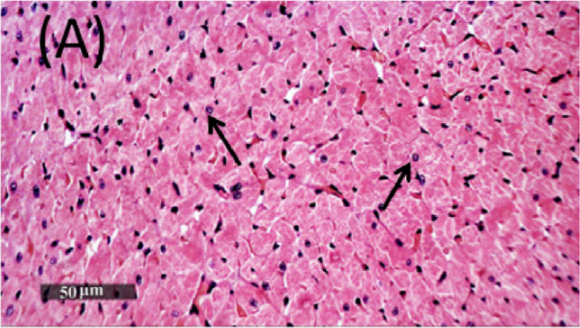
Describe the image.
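This is normal heart muscle made of branched cardiac muscle cells cut mostly across or obliquely. Thin interstitial tissue with small vessels containing red cells runs between the fibres.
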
